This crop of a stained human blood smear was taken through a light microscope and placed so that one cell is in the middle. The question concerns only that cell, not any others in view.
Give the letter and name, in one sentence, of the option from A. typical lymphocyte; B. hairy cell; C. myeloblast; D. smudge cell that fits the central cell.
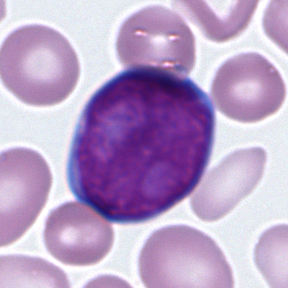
Seen at the centre of the crop is a myeloblast, so option C is correct.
